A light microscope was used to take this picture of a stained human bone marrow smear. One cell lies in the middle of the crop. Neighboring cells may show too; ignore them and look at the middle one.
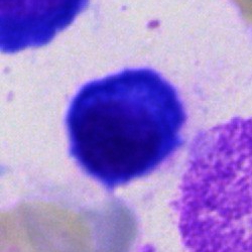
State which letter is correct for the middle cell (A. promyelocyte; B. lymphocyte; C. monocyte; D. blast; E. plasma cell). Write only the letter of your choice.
E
